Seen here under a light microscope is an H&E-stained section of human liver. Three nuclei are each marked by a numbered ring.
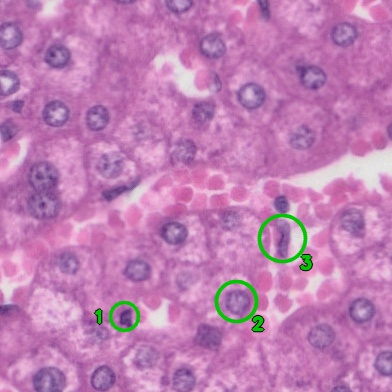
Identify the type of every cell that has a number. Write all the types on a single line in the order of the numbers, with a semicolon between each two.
fibroblast or stellate cell; hepatocyte; Kupffer cell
